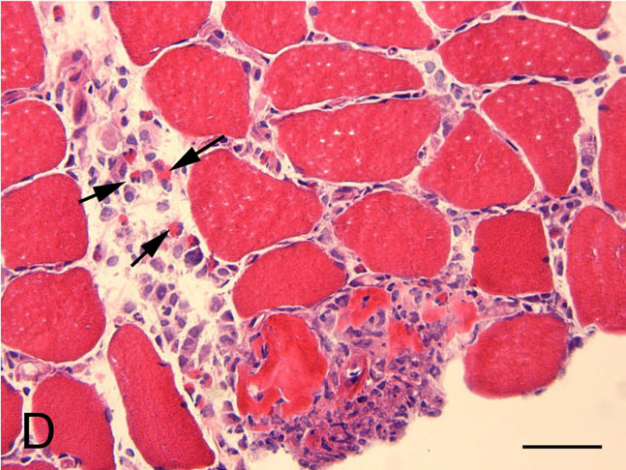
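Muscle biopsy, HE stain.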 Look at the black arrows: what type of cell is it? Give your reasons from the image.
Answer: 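The marked cells are small and round with bright red-pink cytoplasm. They lie among other small nucleated cells in the space between muscle fibres.
Eosinophils.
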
